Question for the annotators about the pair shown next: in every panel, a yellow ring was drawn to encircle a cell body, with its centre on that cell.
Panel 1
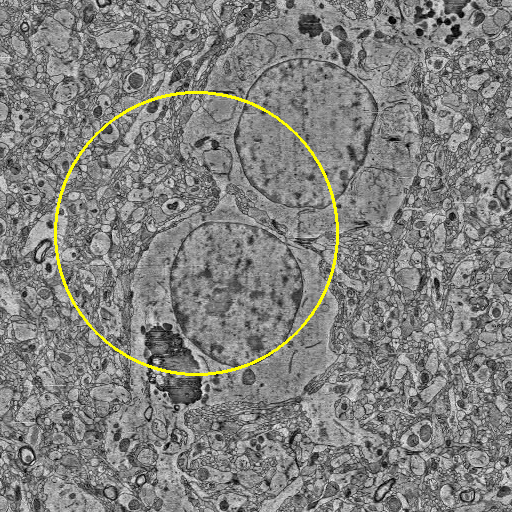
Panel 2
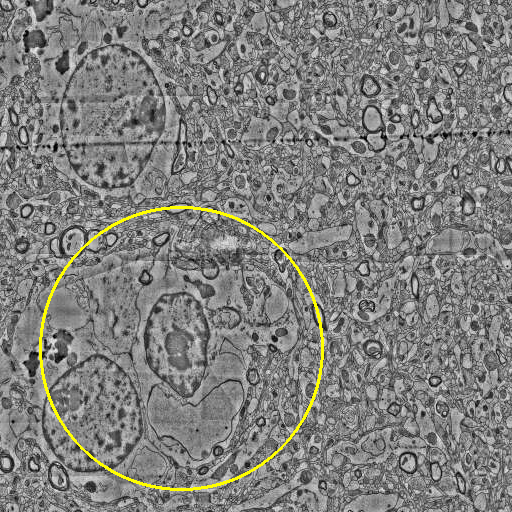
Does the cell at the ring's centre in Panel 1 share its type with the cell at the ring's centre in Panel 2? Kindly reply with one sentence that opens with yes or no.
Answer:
Yes, in Panels 1 and 2 the cells at the ring centres belong to a single type.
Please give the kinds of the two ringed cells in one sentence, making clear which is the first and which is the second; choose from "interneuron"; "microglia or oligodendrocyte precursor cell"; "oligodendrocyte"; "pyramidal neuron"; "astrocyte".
Each of the two cells is an astrocyte.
